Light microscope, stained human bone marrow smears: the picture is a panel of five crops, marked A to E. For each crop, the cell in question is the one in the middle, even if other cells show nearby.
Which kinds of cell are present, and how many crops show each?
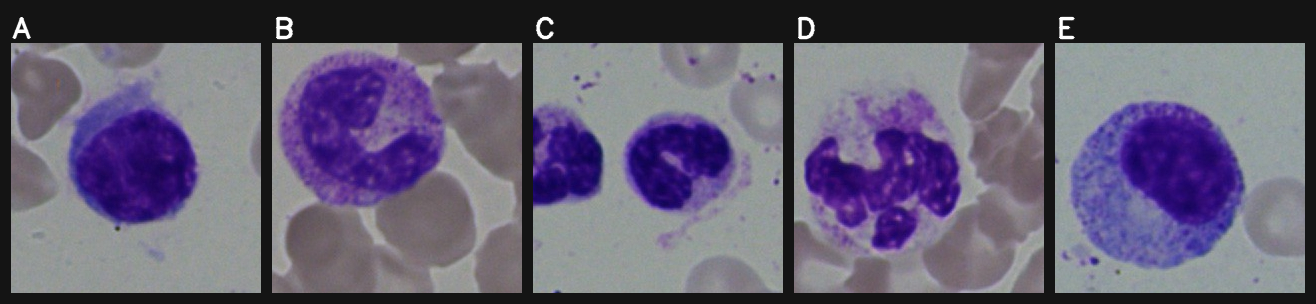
segmented neutrophil: 3
hairy cell: 1
myelocyte: 1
